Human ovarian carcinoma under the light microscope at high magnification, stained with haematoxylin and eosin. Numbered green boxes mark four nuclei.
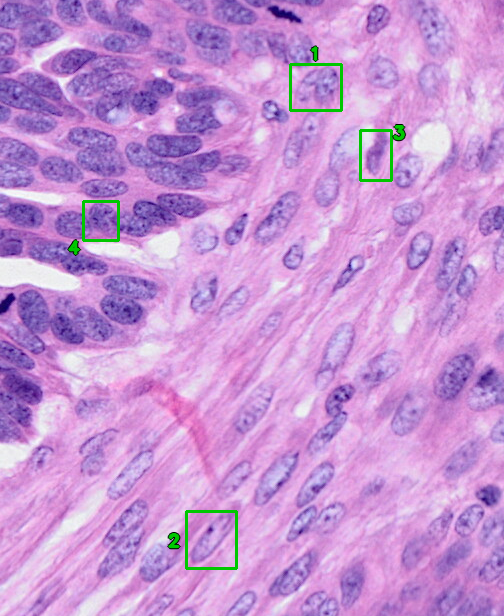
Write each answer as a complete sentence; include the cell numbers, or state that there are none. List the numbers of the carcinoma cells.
In contrast to the remaining marked cells, cell 4 is a carcinoma cell.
